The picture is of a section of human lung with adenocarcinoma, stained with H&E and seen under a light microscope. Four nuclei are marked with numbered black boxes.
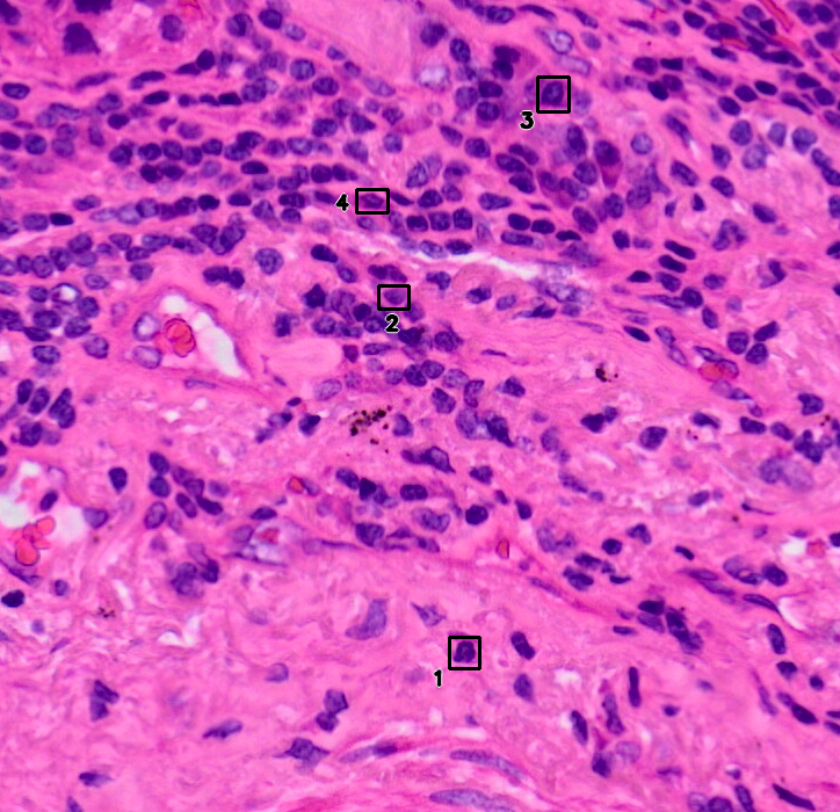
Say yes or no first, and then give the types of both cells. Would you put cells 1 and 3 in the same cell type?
Yes, both are plasma cells.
